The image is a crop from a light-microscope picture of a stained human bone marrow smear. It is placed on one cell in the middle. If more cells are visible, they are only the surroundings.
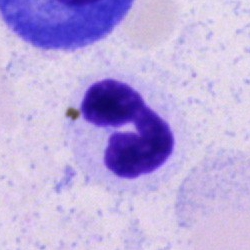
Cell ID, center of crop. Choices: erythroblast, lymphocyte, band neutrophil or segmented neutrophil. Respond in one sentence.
Occupying the centre of the crop is a segmented neutrophil.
